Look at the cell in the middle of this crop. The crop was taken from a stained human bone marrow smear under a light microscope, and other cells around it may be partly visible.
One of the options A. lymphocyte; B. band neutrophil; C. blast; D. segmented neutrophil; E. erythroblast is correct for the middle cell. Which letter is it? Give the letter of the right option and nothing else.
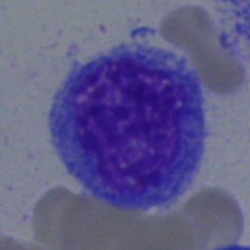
C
